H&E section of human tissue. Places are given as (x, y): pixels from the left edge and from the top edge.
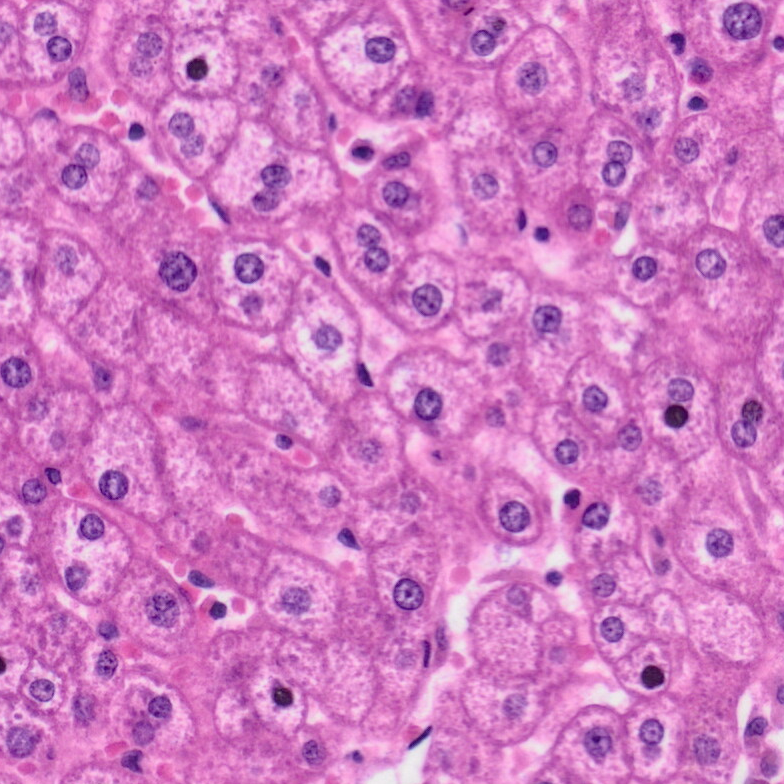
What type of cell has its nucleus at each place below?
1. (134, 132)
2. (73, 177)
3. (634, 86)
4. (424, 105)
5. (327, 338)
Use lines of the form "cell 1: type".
cell 1: lymphocyte
cell 2: hepatocyte
cell 3: hepatocyte
cell 4: fibroblast or stellate cell
cell 5: hepatocyte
